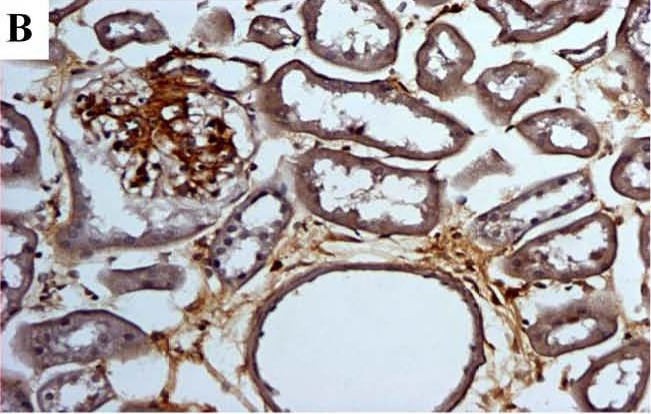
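Renal cortex with a glomerulus at upper left and surrounding cross-sectioned tubules. The glomerular tuft holds dense, clumped dark brown deposits among its cells, inside a clear capsular space. Tubular epithelium shows light brown cytoplasm with vacuolated, lacy lumina. Brown-stained fibrous material and spindle-shaped cells lie in the interstitium around a large round empty lumen at lower centre.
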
